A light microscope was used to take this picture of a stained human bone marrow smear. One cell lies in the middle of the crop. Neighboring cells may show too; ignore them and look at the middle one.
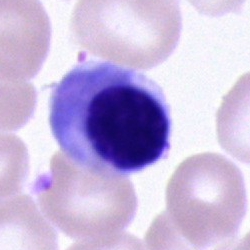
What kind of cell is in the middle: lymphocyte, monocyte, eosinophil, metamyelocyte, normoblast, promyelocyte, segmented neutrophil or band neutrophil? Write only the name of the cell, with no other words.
normoblast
